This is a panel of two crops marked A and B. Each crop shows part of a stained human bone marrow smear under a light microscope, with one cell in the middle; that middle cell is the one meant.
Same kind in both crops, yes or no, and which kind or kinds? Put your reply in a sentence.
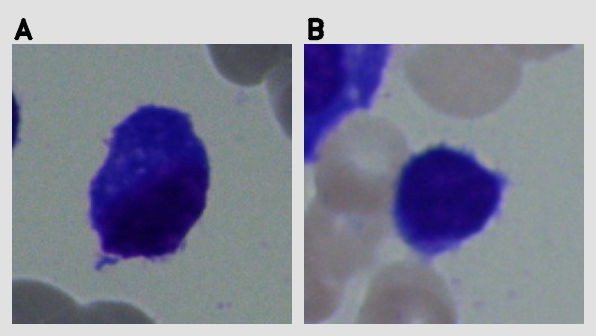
No, crop A and crop B contain, respectively, a plasma cell and a lymphocyte.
